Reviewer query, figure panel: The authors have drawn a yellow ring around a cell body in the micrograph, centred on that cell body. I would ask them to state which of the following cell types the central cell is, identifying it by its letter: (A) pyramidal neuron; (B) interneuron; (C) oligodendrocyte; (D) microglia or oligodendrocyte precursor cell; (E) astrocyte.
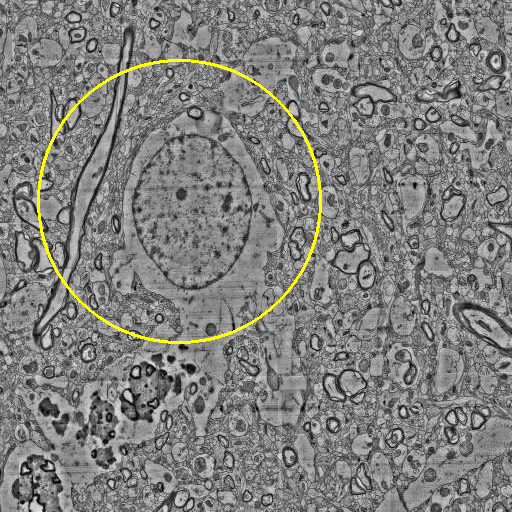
E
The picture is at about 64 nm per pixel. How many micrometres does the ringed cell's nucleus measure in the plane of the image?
In this plane the nucleus spans approximately 10 by 8 micrometers.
